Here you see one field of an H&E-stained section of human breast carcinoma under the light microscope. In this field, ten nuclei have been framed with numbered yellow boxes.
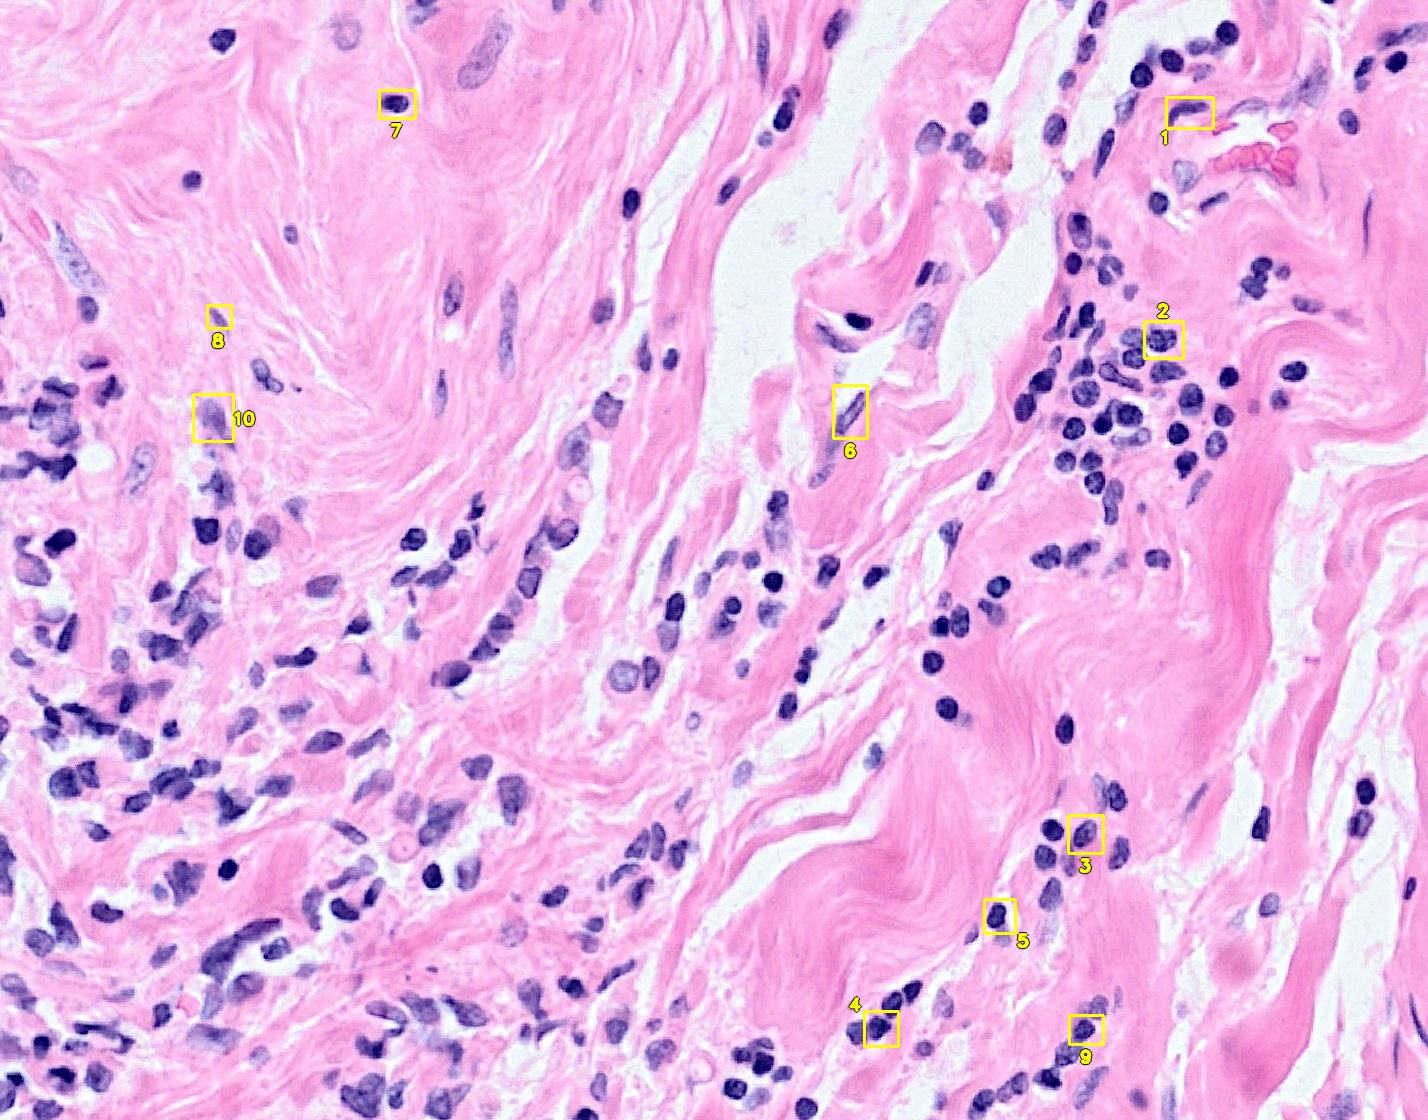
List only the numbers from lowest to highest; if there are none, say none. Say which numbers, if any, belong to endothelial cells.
1, 6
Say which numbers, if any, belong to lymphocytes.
2, 3, 4, 5, 7, 9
